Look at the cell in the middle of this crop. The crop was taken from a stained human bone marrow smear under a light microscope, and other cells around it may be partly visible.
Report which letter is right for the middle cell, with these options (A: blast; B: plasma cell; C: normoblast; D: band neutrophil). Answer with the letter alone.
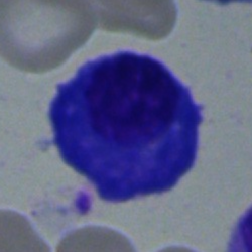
B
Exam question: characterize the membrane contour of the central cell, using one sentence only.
The cell outline lacks smoothness, being ragged or extended into projections.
